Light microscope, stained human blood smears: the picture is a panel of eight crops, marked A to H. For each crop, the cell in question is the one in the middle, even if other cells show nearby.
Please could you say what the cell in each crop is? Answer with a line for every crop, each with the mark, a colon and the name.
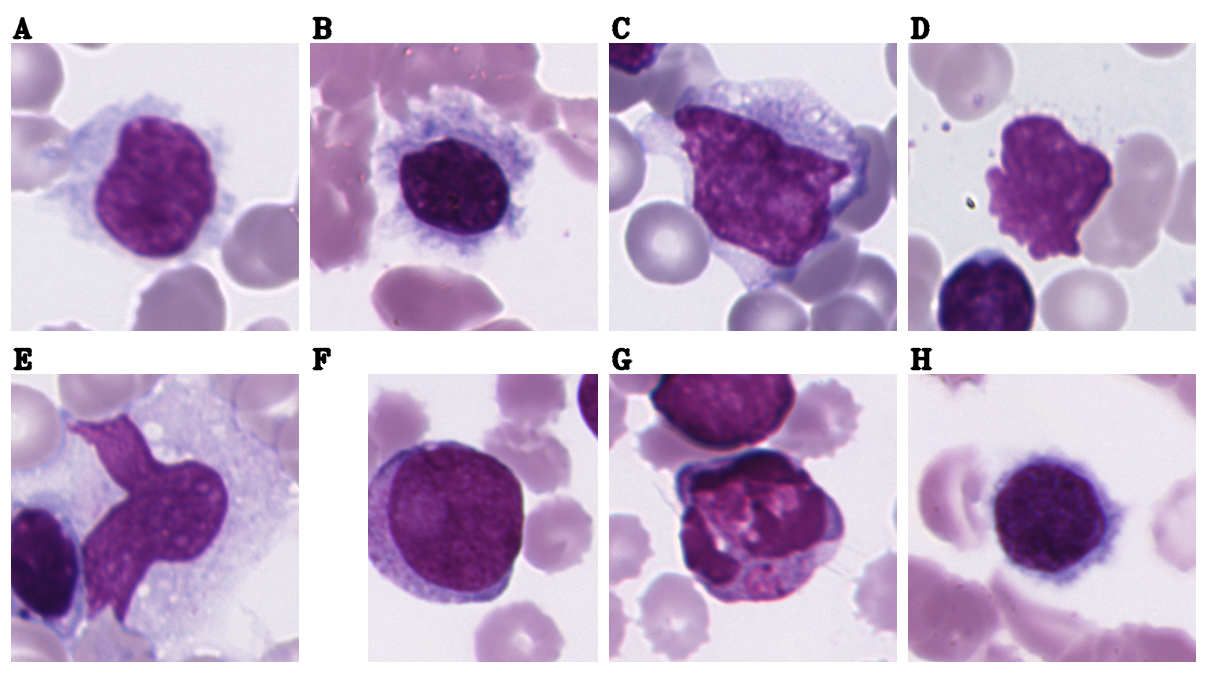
A: hairy cell
B: hairy cell
C: monocyte
D: smudge cell
E: monocyte
F: myelocyte
G: myeloblast
H: hairy cell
